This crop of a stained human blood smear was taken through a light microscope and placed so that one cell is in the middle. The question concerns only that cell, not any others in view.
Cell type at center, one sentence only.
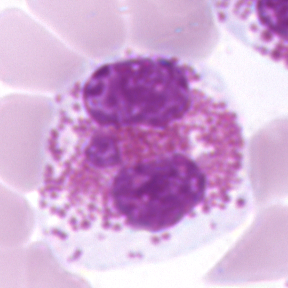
The cell in the exact centre of the crop is an eosinophil.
